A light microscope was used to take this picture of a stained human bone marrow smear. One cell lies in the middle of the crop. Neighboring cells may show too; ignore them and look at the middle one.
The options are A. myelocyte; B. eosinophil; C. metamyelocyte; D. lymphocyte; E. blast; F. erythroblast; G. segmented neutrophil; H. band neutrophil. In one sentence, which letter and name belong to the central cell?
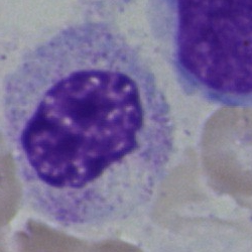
In the middle of the crop is a myelocyte; option A is therefore correct.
